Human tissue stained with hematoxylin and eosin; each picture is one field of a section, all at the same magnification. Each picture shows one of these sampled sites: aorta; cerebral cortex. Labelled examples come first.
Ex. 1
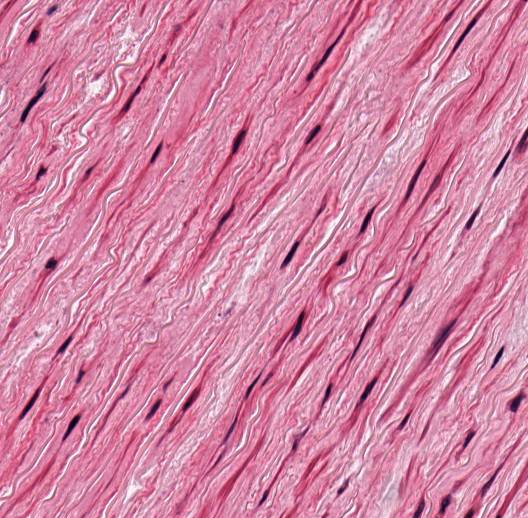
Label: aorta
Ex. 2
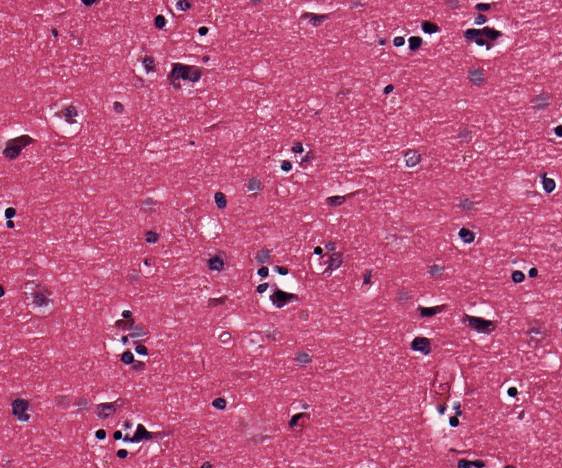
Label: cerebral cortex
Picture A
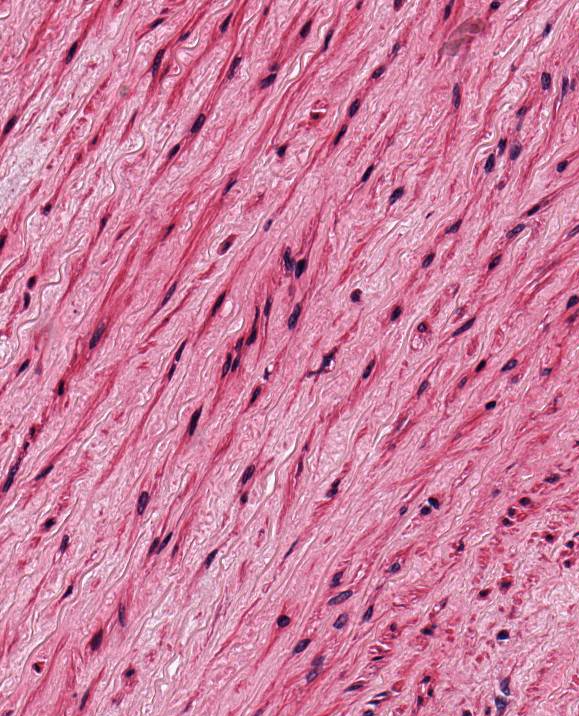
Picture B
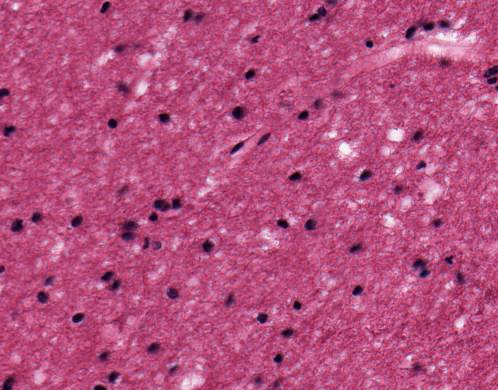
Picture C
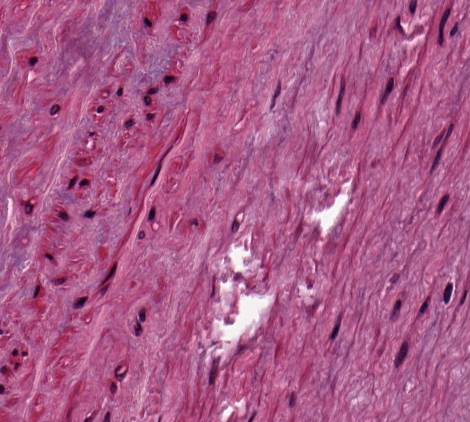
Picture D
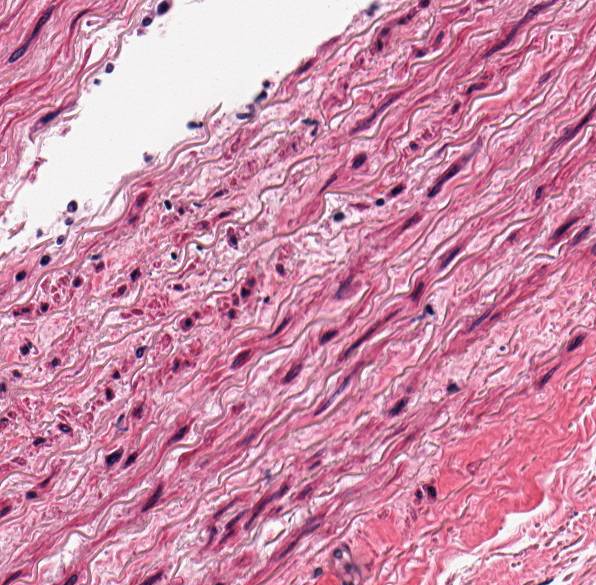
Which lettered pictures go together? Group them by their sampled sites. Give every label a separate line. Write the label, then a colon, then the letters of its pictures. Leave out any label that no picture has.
aorta: A, C, D
cerebral cortex: B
